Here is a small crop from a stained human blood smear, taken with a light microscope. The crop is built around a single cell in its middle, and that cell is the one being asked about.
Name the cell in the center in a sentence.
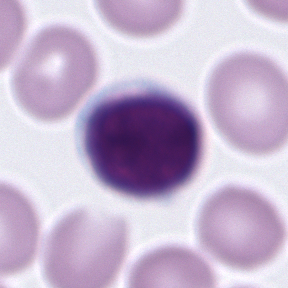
The cell occupying the middle of the crop is a typical lymphocyte.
